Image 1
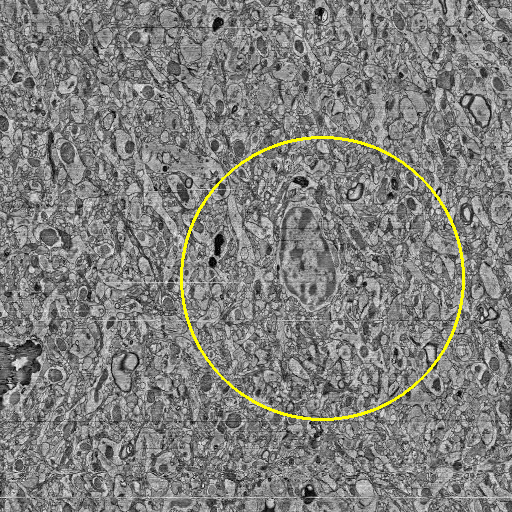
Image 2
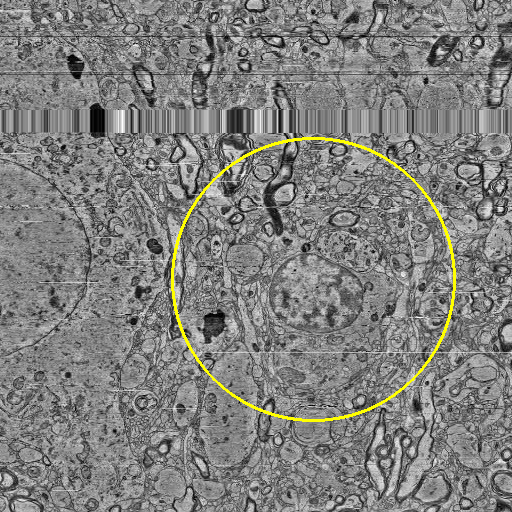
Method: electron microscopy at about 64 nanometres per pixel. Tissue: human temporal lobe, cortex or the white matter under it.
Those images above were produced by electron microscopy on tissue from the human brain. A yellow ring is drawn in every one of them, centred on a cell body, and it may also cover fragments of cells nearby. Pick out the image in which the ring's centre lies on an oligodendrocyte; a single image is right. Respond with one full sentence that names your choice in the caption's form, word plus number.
Image 2 is my choice: its ring is centred on the requested cell.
